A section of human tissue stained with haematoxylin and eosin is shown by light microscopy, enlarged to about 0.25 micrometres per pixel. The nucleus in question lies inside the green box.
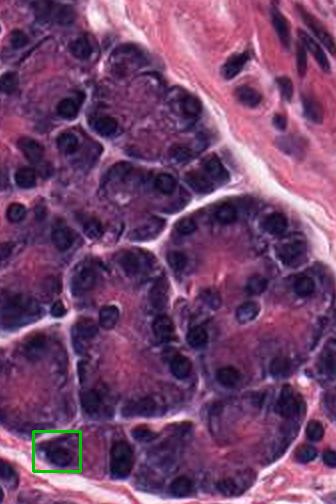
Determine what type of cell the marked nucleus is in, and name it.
pancreatic acinar cell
